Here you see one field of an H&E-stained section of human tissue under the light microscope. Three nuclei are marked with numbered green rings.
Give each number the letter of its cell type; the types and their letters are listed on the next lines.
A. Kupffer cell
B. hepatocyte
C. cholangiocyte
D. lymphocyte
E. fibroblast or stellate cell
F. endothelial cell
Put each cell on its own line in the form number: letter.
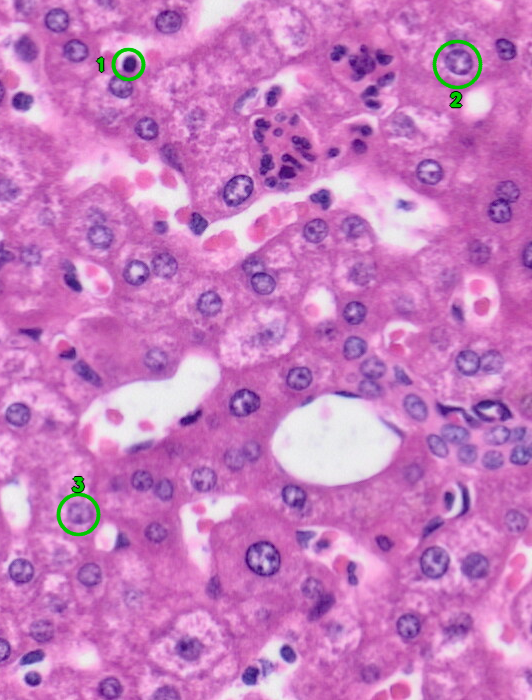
1: D
2: B
3: B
